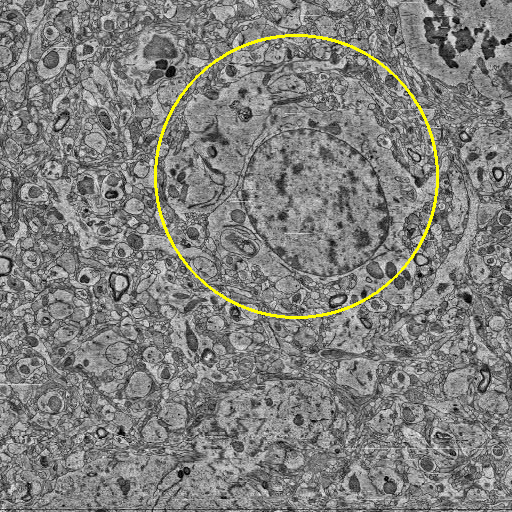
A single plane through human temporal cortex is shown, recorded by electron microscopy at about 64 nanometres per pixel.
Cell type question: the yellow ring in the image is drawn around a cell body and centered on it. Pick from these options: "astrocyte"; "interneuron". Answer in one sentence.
The ringed cell at the center is an astrocyte.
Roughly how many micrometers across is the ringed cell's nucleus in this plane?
The ringed cell's nucleus measures approximately 10 by 9 micrometres in this plane.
